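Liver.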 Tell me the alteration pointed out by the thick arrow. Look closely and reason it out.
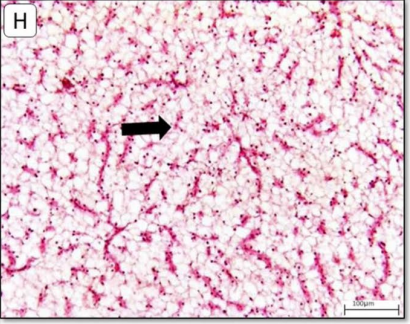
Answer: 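Hepatic vacuolation. The parenchyma is dominated by clear, empty-looking cells. Pink staining is confined to thin branching strands between them.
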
